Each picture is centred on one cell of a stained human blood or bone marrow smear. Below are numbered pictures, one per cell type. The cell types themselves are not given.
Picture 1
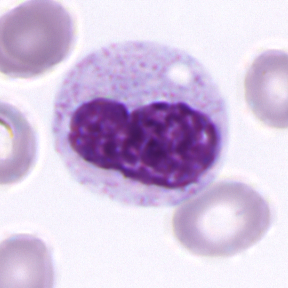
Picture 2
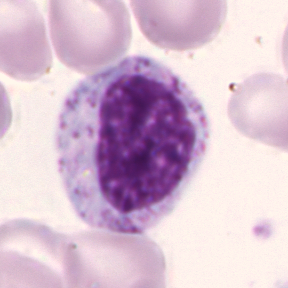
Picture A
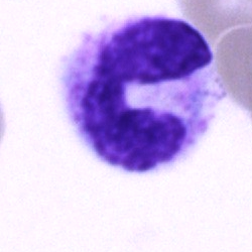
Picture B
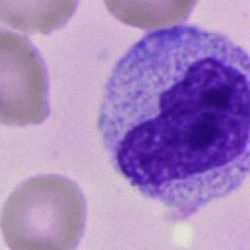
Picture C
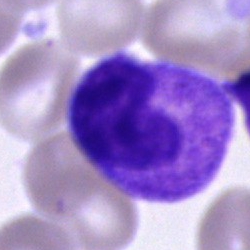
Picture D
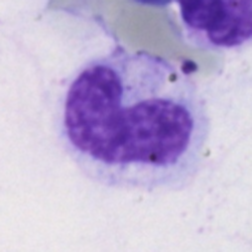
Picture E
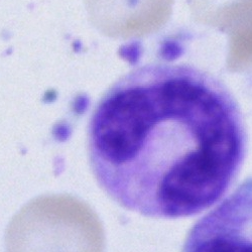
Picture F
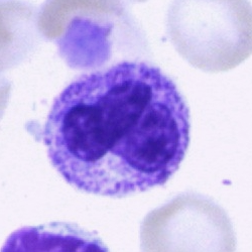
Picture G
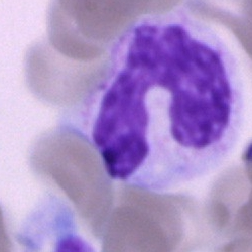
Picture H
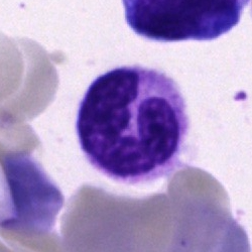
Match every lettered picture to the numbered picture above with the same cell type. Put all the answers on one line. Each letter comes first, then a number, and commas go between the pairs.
A 1, B 2, C 2, D 1, E 1, F 1, G 1, H 1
